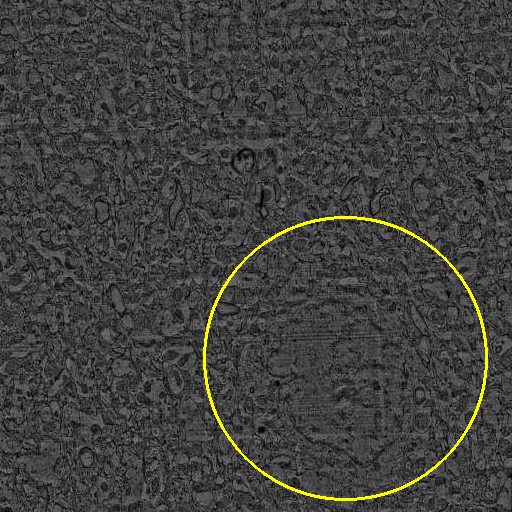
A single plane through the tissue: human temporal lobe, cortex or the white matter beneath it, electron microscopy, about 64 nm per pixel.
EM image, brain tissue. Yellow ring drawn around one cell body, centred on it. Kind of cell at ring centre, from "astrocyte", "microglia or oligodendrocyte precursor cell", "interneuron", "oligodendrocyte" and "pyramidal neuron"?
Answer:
interneuron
